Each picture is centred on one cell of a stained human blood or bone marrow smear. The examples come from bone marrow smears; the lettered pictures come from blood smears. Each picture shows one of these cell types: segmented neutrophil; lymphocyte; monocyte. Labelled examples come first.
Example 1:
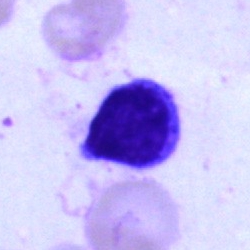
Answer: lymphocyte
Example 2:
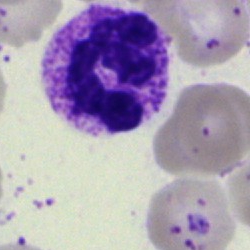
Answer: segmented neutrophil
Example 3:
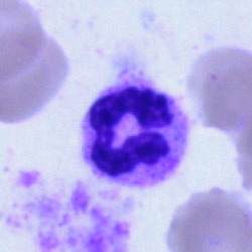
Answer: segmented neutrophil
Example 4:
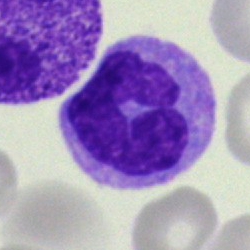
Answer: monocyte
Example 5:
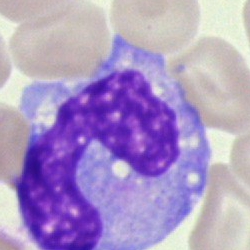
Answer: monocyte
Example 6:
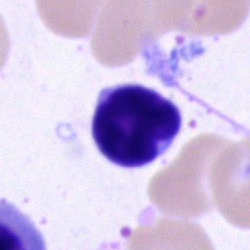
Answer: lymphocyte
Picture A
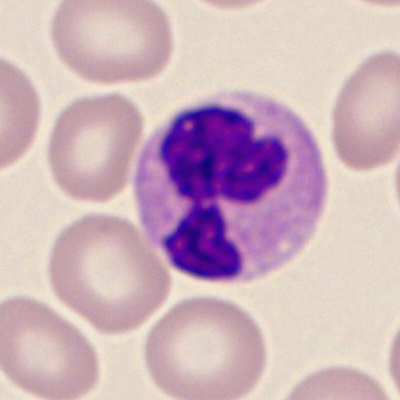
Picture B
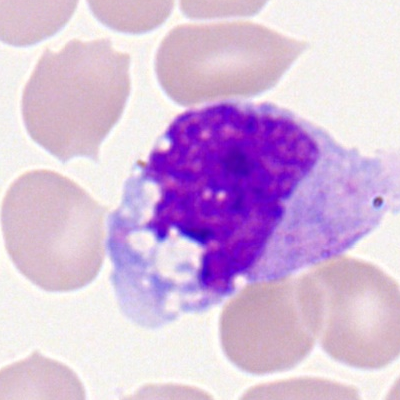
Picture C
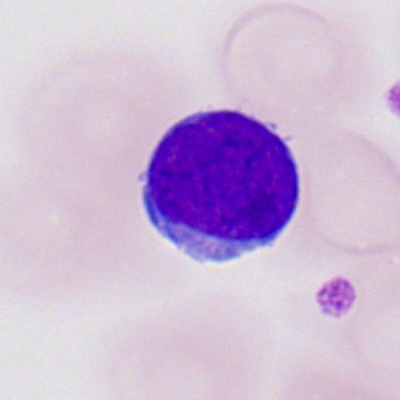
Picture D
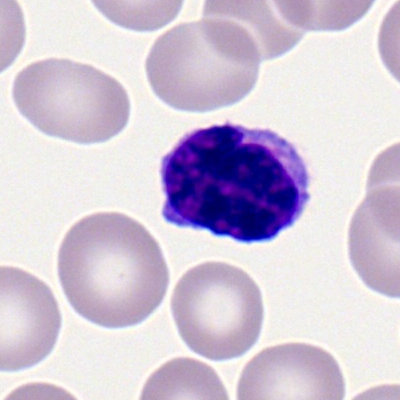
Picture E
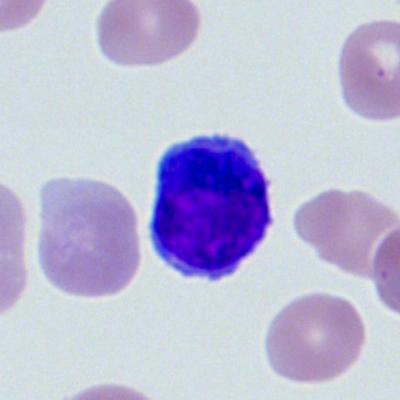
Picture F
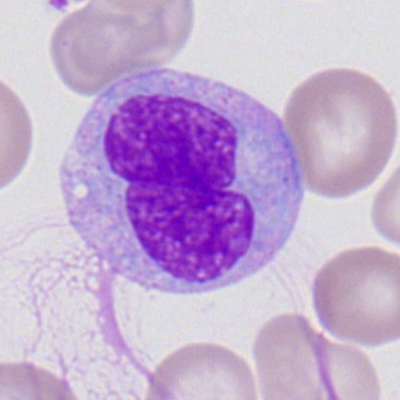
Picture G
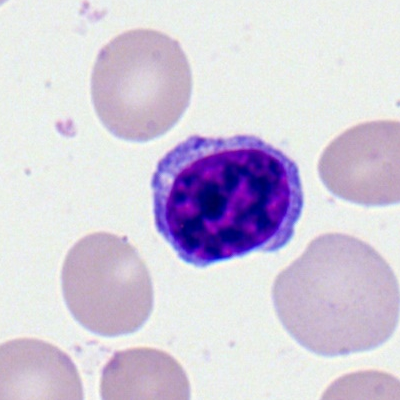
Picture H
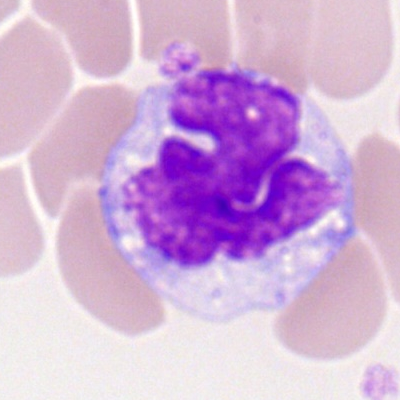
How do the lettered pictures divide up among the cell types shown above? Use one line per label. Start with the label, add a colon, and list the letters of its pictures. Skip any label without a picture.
segmented neutrophil: A
lymphocyte: C, D, E, G
monocyte: B, F, H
